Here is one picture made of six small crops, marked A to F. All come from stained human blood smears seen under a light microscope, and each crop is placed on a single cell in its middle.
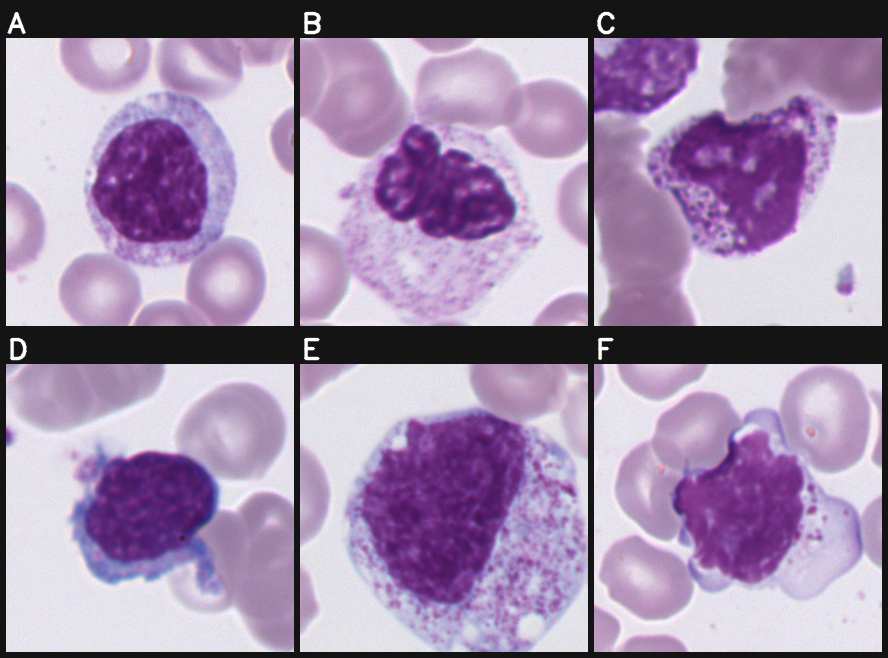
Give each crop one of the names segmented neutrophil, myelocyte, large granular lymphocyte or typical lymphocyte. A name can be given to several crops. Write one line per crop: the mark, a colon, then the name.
A: myelocyte
B: segmented neutrophil
C: myelocyte
D: typical lymphocyte
E: myelocyte
F: large granular lymphocyte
